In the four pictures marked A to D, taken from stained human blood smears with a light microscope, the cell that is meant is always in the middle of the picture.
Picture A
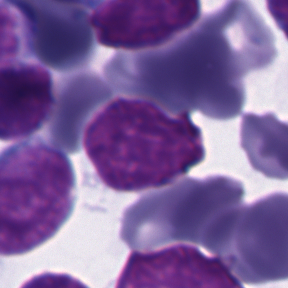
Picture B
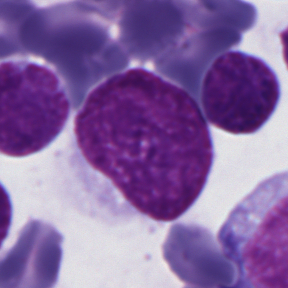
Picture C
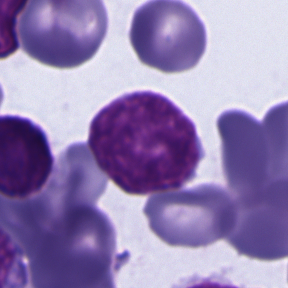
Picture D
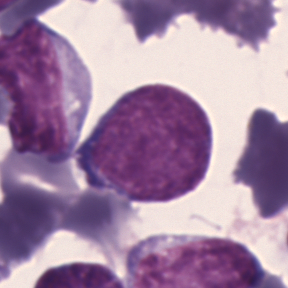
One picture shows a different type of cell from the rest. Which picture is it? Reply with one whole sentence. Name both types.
Unlike the rest, which show myeloblasts, picture A shows a smudge cell.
